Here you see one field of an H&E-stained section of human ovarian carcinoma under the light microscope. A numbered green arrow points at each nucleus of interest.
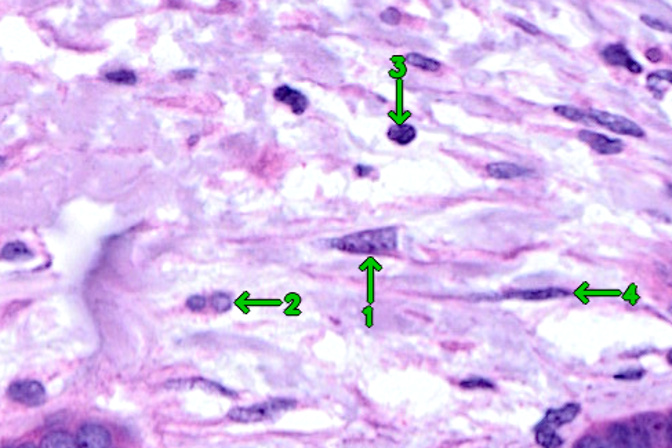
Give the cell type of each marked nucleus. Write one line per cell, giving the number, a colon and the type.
1: fibroblast
2: macrophage or monocyte
3: lymphocyte
4: fibroblast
